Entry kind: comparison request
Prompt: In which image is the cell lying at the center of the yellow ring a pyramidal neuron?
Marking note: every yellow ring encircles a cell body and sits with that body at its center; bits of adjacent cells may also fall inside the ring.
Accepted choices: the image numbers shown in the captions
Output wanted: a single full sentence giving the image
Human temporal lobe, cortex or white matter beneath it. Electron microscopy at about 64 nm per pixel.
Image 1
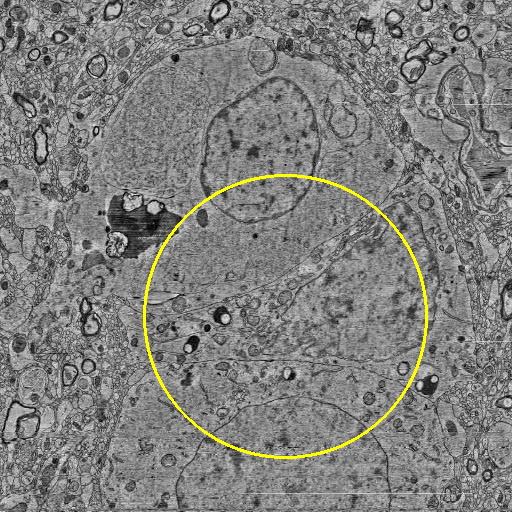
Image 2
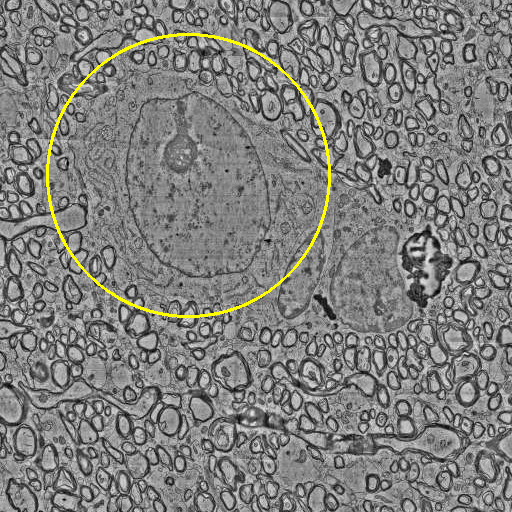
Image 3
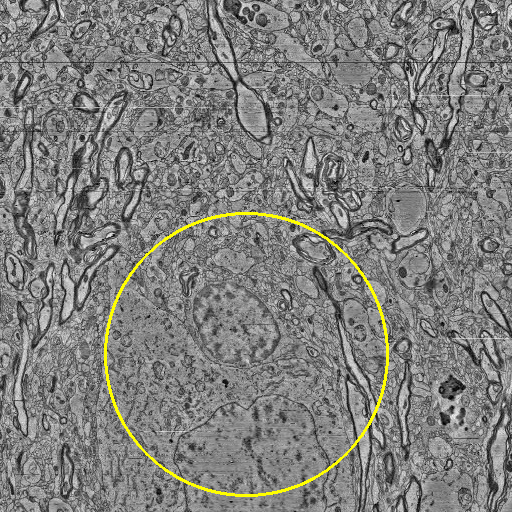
In image 2, the ringed cell at the center matches the prompt.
